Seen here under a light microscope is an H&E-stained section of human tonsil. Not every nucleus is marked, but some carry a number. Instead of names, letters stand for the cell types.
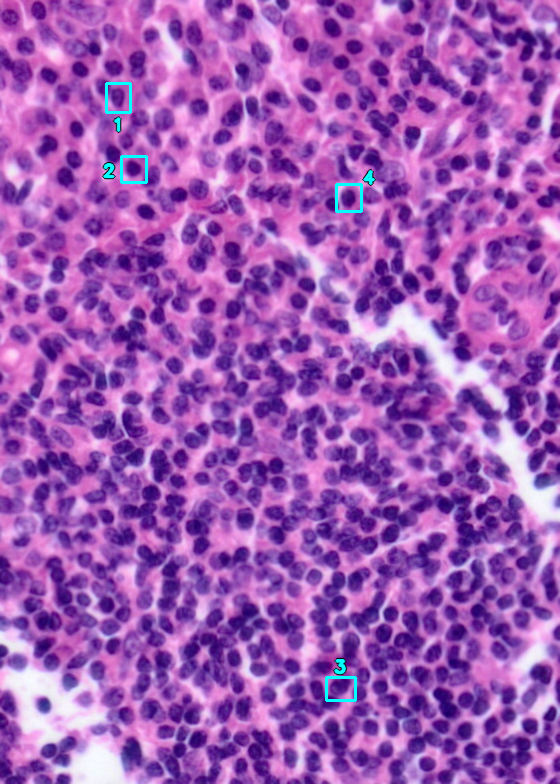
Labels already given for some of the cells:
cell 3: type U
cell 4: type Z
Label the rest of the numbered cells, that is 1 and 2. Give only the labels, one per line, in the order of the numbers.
type Z
type Z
